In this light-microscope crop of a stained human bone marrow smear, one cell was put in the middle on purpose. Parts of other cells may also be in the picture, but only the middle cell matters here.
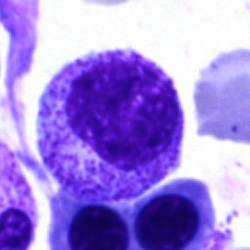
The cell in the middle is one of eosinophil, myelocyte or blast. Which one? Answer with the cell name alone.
myelocyte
